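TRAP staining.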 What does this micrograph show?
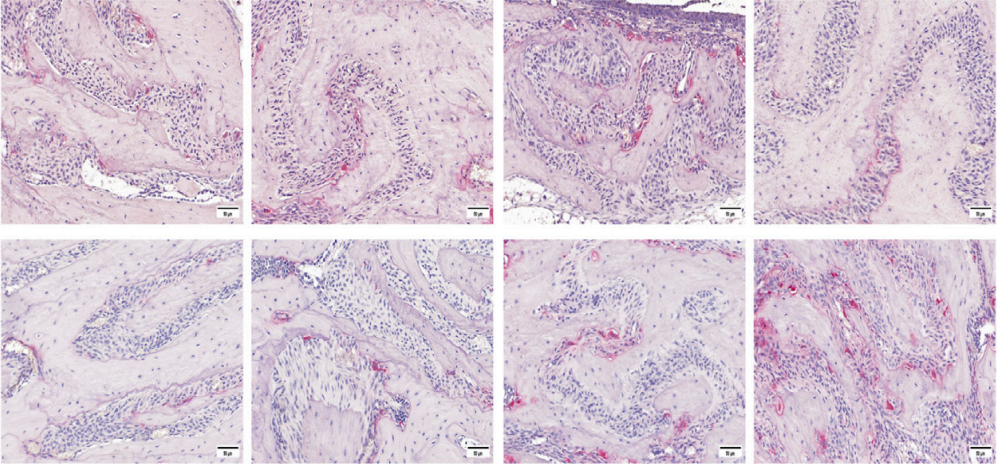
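The bone matrix is pale pink and holds scattered small dark nuclei of osteocytes in lacunae. Between the trabeculae lies cellular connective tissue, densely packed with elongated, spindle-shaped blue nuclei. The connective-tissue bands follow the curving outlines of the bone. Red to magenta stained cells sit along the bone surfaces at the border between bone and soft tissue, singly or in small clusters. The number of red cells varies from image to image, and in some images they are dense along many bone margins.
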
